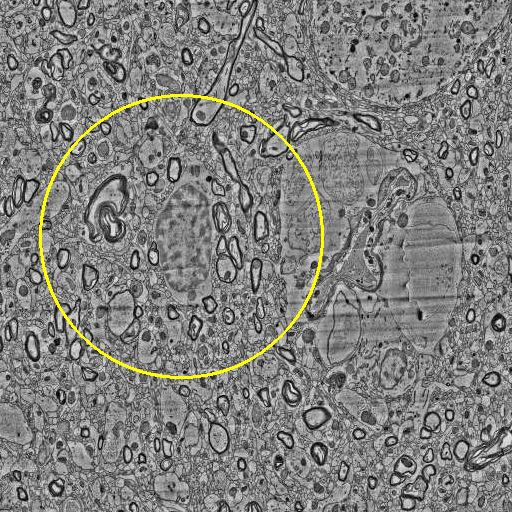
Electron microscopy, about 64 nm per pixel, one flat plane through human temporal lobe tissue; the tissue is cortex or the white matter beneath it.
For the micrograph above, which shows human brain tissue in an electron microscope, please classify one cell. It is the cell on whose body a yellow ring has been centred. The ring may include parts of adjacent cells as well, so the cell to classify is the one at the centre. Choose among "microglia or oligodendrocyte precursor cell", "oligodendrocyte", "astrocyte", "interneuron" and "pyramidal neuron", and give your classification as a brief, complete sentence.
I classify this cell as an oligodendrocyte.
